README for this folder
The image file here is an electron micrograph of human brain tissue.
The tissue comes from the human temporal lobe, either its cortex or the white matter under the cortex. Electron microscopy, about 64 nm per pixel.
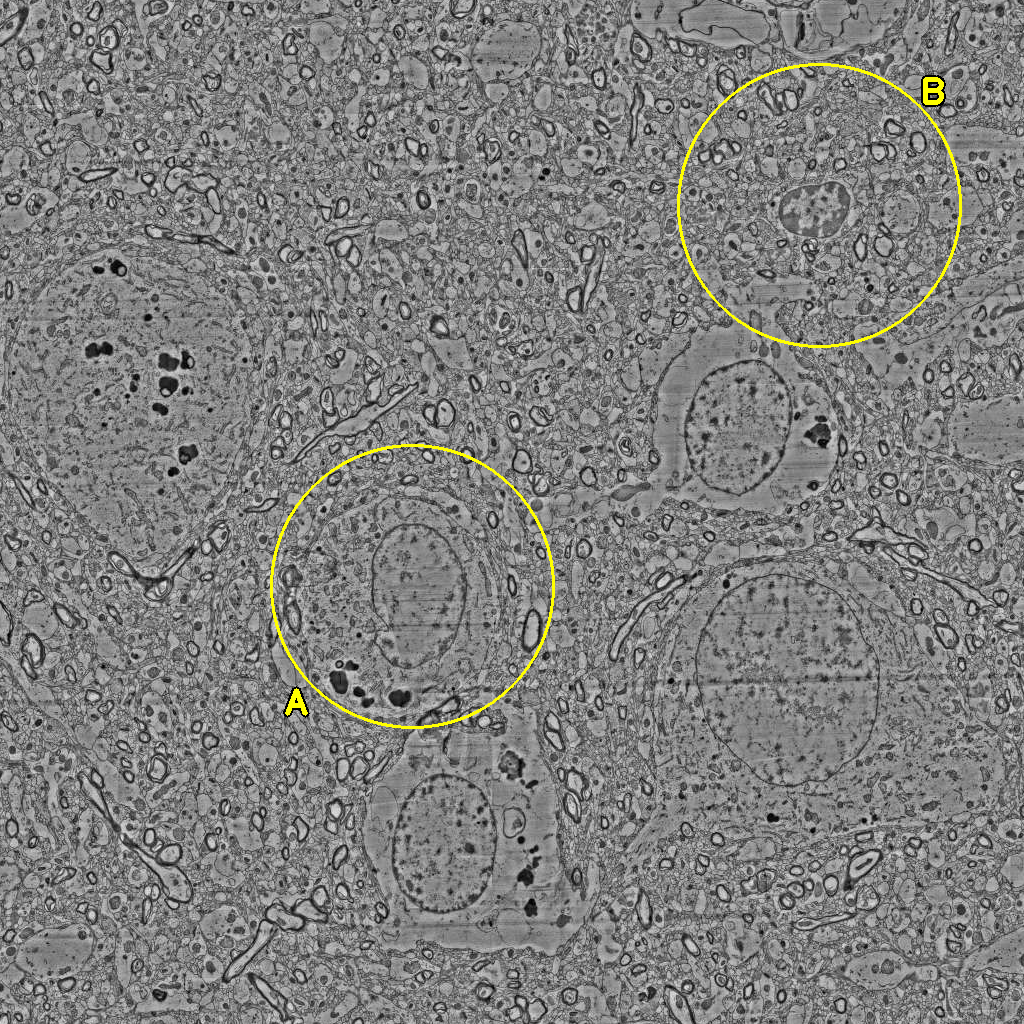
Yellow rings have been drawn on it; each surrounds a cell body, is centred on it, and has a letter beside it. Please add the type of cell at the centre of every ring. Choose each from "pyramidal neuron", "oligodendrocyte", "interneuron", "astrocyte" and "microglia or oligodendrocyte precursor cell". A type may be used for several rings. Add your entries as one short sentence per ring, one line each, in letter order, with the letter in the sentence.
Ring A marks the cell body of a pyramidal neuron.
Ring B marks the cell body of a microglial cell or oligodendrocyte precursor cell.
